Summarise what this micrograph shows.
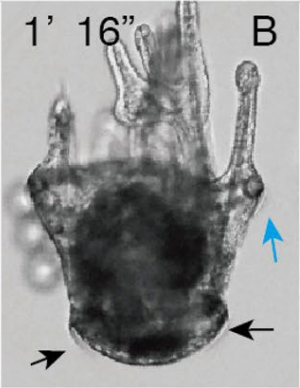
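Several slender, translucent arms rise from its upper side, some ending in small knobs. Pale rounded structures lie out of focus along the left edge.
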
